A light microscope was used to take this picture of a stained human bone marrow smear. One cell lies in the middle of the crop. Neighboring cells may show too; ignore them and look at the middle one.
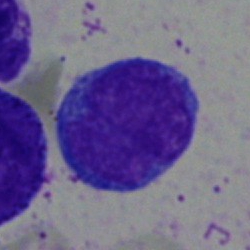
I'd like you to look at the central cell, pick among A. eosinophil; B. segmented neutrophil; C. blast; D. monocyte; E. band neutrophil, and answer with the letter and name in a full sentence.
The middle of the crop contains a blast, so option C is right.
